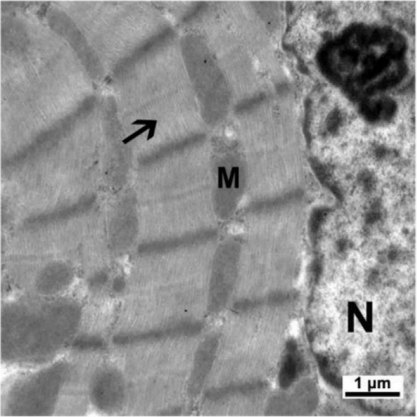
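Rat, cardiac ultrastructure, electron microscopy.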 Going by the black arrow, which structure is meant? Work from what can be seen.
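Broad myofibrils with regularly spaced transverse dark bands. The arrow lies on a banded myofibril beside the nucleus. So: striations of the myofibrils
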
